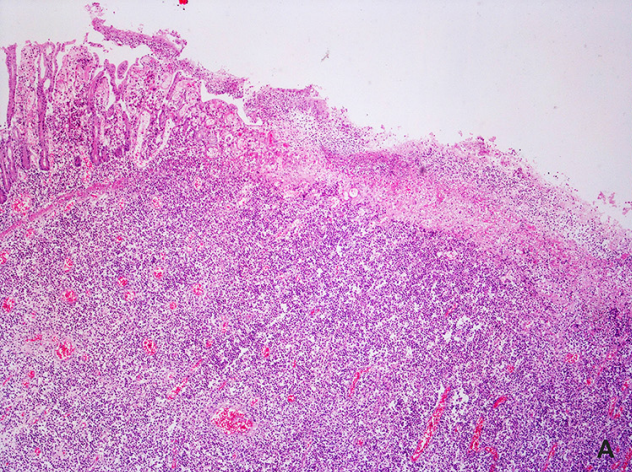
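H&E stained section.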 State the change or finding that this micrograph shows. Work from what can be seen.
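The overlying mucosa was partially effaced. Glandular mucosa remains only at the upper left edge. Most of the surface lacks glands and is replaced by a pale, eroded layer over a dense sheet of cells.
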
